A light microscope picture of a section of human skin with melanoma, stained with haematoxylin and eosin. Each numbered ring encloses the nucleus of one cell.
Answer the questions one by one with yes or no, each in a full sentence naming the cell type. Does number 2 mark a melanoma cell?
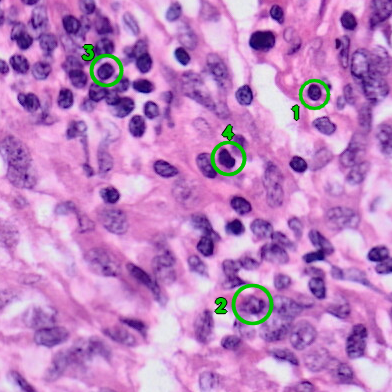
Yes, the cell identified by number 2 is a melanoma cell.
